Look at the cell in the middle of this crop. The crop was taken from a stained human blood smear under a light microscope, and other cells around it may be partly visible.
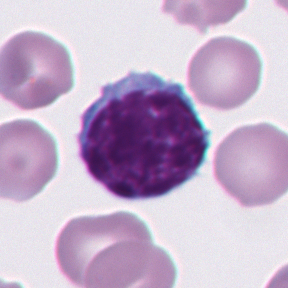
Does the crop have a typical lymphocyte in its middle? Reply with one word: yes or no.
yes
